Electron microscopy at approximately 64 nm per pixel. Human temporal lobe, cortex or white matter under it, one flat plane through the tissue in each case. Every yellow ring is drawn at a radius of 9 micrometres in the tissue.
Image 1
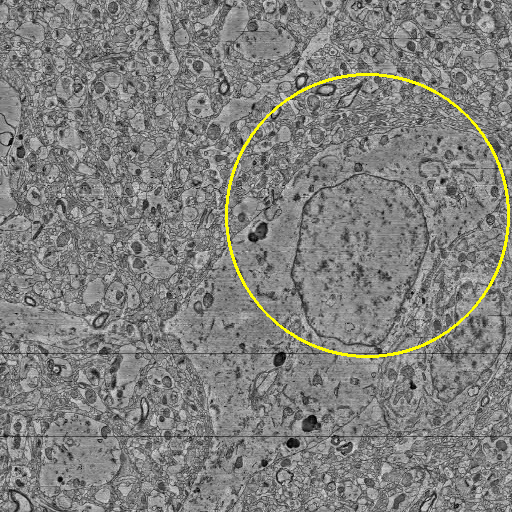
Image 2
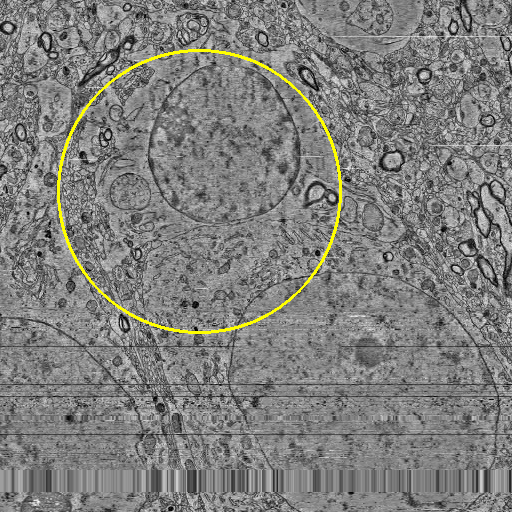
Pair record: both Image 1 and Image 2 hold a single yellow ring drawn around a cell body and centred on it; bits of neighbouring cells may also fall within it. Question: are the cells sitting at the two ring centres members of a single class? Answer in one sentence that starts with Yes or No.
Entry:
No, the ring-centre cells in Image 1 and Image 2 come from two classes.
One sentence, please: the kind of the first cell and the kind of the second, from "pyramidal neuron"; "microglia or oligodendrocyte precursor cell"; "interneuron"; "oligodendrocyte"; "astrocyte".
The ring in the first picture surrounds a pyramidal neuron, and the ring in the second surrounds an astrocyte.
